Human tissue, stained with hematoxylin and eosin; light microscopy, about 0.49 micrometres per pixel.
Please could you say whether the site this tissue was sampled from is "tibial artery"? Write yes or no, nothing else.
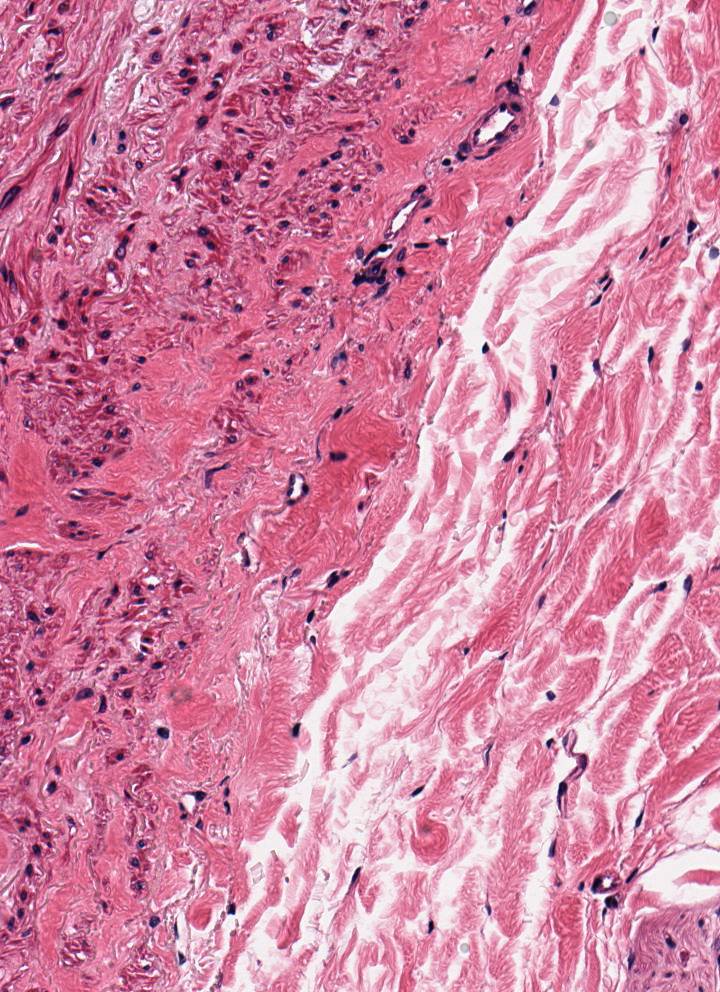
no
